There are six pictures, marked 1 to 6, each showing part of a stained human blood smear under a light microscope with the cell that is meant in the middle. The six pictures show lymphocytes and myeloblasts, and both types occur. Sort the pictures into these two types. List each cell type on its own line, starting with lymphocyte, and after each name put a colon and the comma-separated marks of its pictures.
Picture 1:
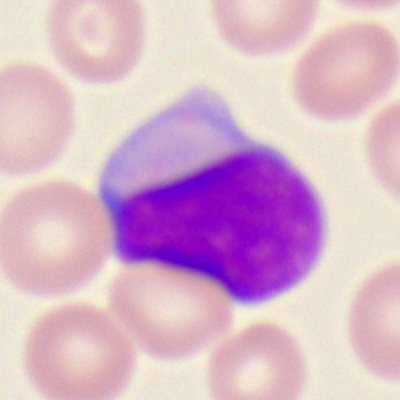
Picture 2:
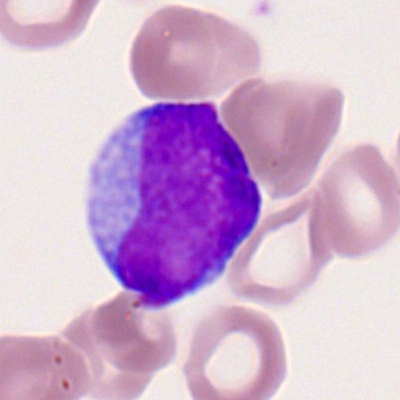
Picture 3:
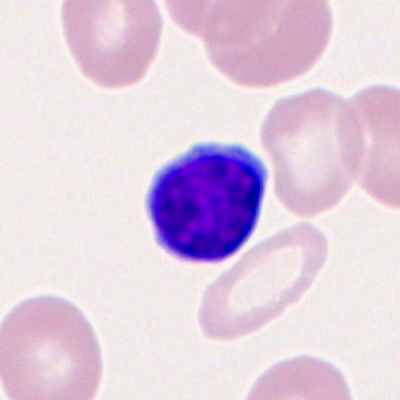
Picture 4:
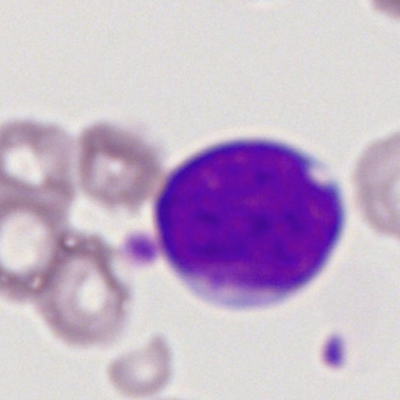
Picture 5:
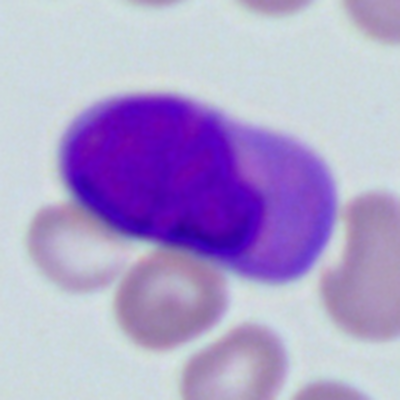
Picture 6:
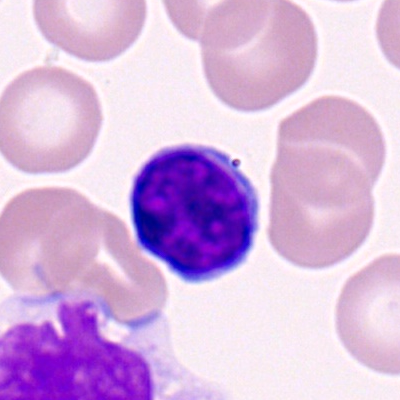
lymphocyte: 3, 6
myeloblast: 1, 2, 4, 5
